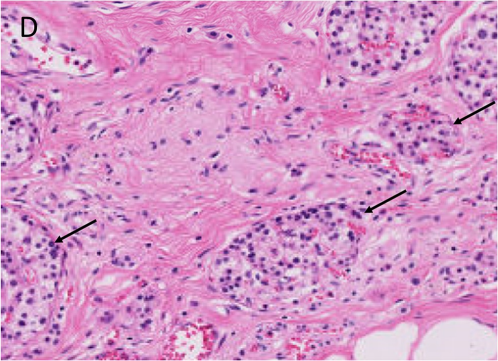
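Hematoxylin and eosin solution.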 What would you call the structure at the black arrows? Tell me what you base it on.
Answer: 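The arrows point to rounded, well-bounded clusters of small cells. The clustered cells have small round uniform nuclei and pale cytoplasm. The clusters are isolated within pink fibrous tissue. On this evidence: islets.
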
